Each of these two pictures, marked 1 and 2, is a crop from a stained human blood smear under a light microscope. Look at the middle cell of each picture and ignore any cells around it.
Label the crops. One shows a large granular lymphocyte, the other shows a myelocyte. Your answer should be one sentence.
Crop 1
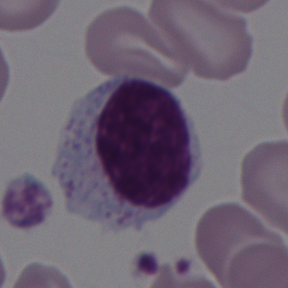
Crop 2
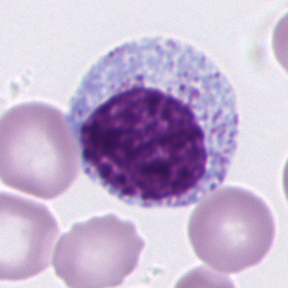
Crop 1 is a large granular lymphocyte, and, separately, crop 2 is a myelocyte.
